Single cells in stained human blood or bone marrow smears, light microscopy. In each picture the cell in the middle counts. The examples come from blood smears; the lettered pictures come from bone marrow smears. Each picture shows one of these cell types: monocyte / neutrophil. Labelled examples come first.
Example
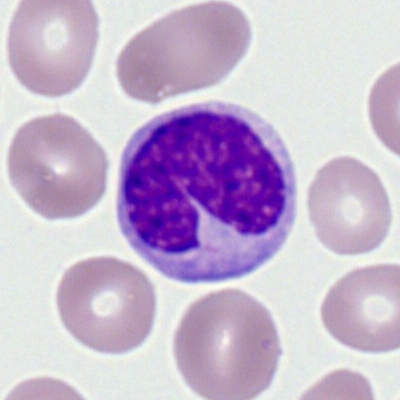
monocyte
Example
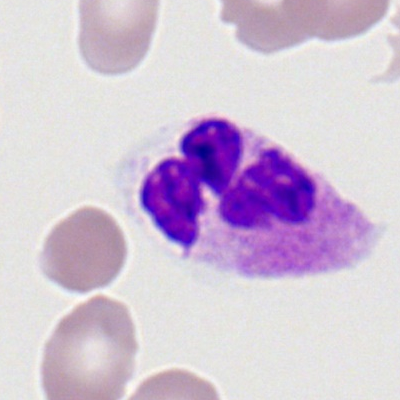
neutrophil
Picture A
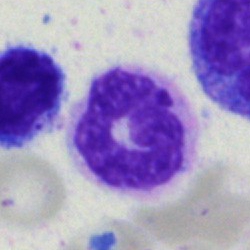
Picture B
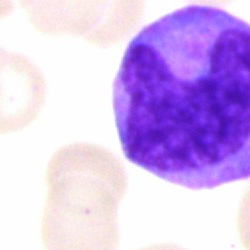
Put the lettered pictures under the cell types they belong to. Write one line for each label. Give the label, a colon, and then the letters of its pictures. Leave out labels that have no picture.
monocyte: B
neutrophil: A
